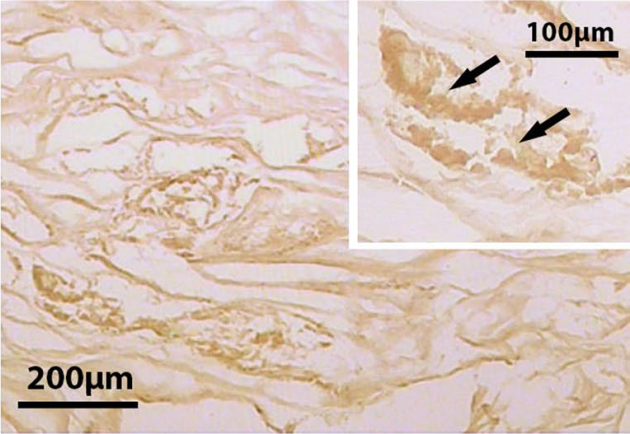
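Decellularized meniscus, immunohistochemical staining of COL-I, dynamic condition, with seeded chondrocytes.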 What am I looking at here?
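The matrix forms pale, wavy, interlacing strands and sheets with many open clefts between them, giving a lacy appearance. Within some clefts lie elongated clusters of small, granular, brown-stained bodies, which in the enlarged inset appear as packed groups of small rounded cells lining the spaces. Individual nuclei are hard to make out. The brown colour is strongest in these cell clusters and faint along the fibre strands of the matrix.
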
